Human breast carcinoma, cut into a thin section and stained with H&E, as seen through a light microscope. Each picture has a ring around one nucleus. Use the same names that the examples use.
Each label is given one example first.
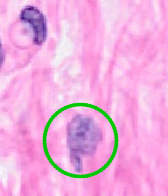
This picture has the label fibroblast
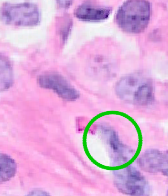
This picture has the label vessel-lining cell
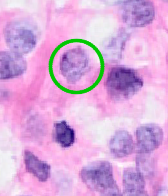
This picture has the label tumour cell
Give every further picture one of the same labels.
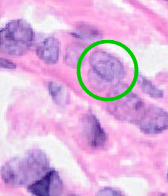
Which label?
tumour cell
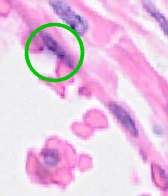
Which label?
vessel-lining cell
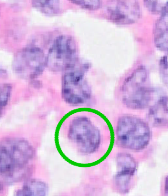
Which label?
tumour cell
